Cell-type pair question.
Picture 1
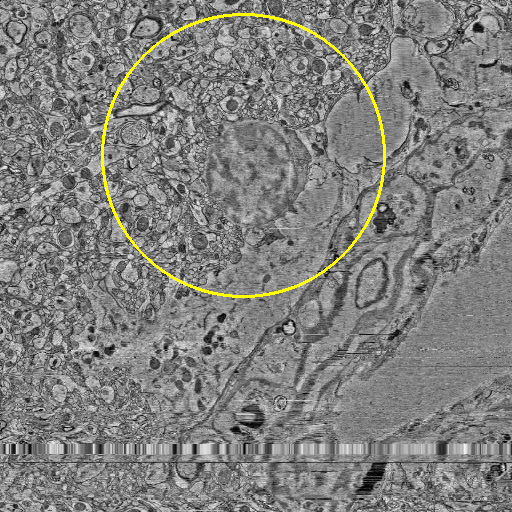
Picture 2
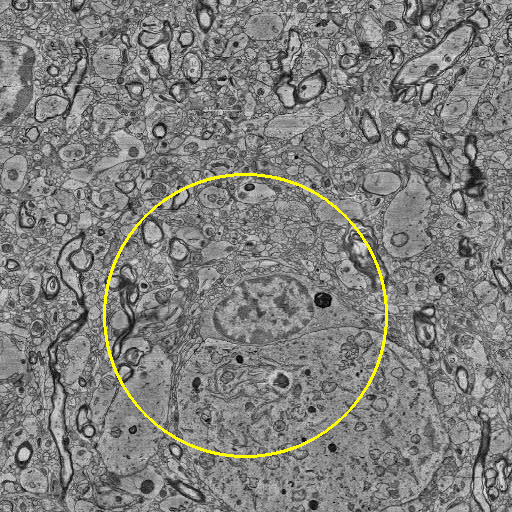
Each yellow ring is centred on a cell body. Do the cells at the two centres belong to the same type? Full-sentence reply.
Yes, the two cells belong to the same type.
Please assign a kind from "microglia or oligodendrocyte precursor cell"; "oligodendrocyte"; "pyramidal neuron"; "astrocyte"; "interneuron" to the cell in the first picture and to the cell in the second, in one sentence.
The first and the second cell are each an oligodendrocyte.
